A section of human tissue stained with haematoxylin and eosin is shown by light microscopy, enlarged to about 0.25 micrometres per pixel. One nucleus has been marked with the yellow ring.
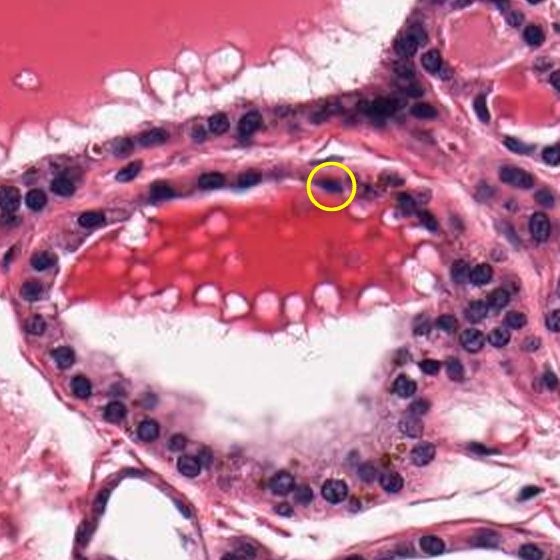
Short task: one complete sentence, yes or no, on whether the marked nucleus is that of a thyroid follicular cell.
Yes, it is a thyroid follicular cell to which the marked nucleus belongs.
